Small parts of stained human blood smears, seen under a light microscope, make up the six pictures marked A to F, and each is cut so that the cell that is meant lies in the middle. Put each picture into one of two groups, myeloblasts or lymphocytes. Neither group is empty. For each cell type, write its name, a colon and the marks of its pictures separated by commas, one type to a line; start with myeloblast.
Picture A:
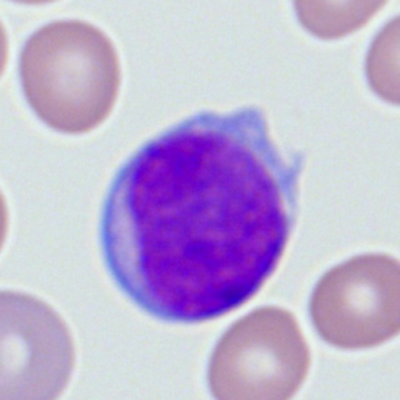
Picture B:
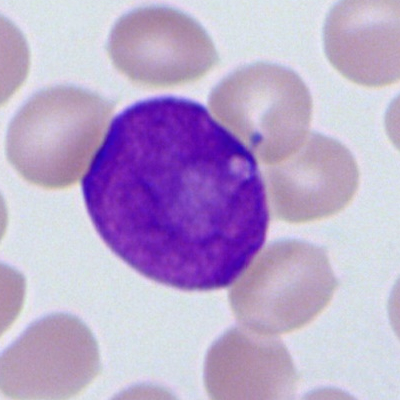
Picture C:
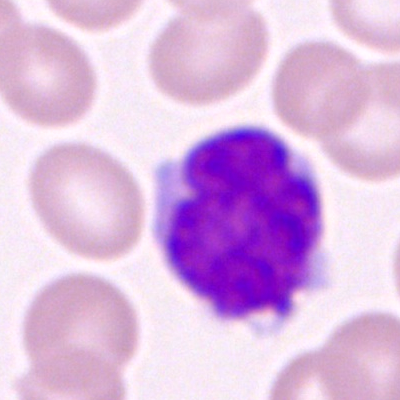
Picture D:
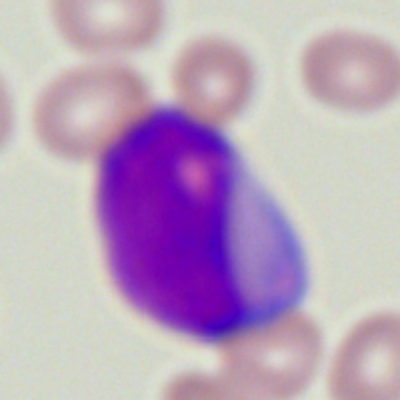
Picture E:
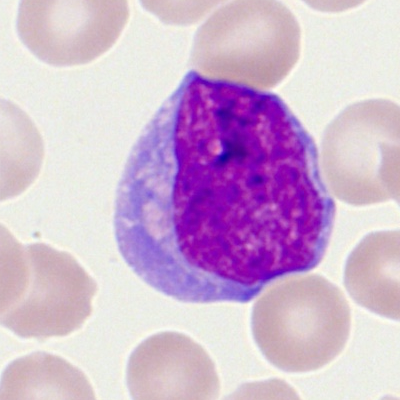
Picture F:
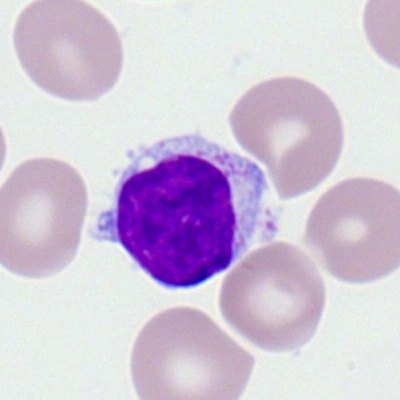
myeloblast: A, B, D, E
lymphocyte: C, F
